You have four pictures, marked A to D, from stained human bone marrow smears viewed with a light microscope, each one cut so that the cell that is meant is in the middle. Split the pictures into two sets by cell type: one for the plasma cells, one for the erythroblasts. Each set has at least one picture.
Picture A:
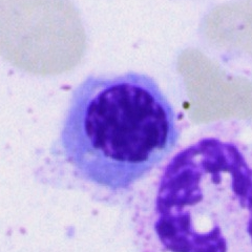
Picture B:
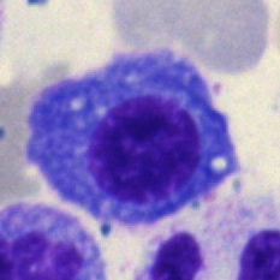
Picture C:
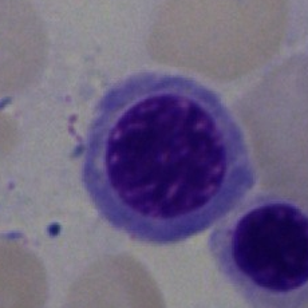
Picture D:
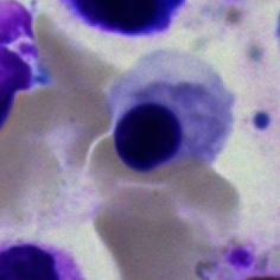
A: erythroblast
B: plasma cell
C: erythroblast
D: erythroblast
